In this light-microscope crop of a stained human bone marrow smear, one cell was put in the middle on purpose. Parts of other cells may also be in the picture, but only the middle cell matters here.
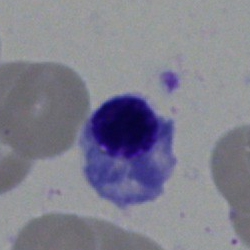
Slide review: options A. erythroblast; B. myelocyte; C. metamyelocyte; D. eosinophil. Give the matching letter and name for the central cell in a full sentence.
As the central cell is an erythroblast, option A is correct.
